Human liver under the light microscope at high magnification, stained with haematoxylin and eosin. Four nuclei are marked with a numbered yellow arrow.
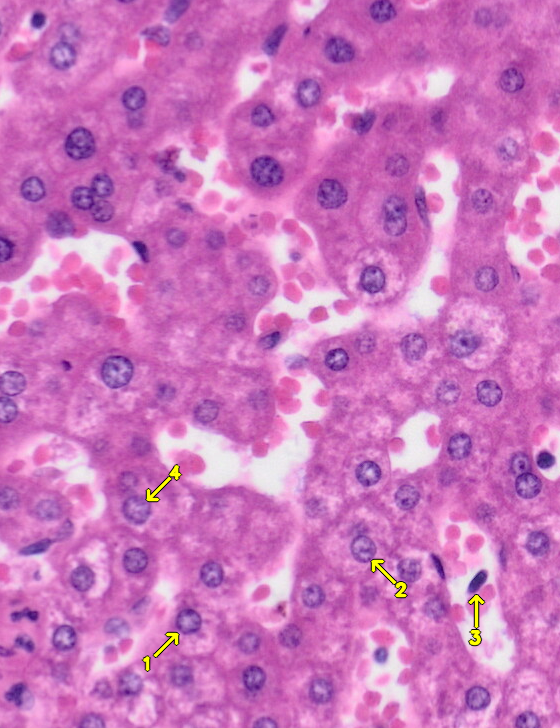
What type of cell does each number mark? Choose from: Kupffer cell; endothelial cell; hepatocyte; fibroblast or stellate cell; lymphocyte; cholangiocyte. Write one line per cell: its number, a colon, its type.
1: hepatocyte
2: hepatocyte
3: lymphocyte
4: hepatocyte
